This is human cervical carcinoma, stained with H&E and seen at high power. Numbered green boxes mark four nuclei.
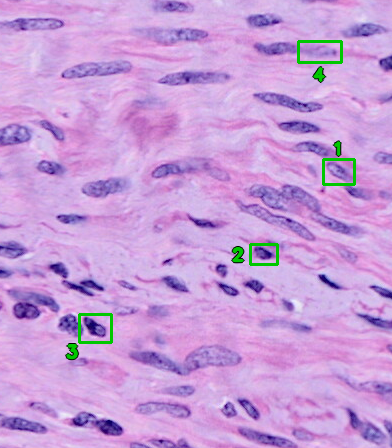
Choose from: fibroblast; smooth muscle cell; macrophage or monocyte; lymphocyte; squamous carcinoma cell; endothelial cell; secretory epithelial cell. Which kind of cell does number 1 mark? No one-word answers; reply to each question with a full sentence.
That cell with number 1 is a smooth muscle cell.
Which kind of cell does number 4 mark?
The cell tagged with 4 in this tissue section is a smooth muscle cell.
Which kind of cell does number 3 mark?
The mark numbered 3 indicates the nucleus of a lymphocyte.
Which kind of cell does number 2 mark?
Denoted by the label 2 in the section is a smooth muscle cell.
